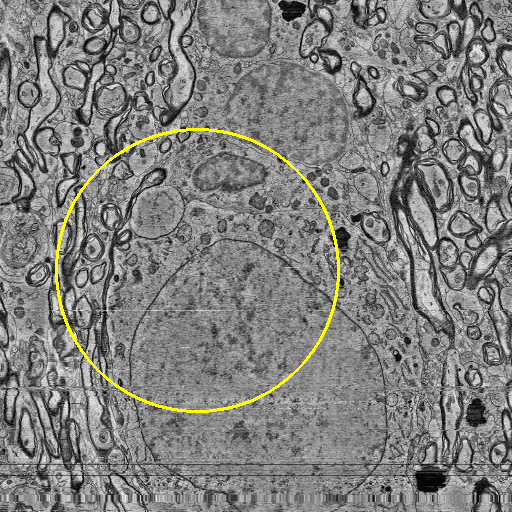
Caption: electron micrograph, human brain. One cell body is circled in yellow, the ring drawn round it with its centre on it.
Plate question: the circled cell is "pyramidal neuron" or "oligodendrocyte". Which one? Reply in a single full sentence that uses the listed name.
The yellow ring on the plate is centred on a pyramidal neuron, going by the listed names.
